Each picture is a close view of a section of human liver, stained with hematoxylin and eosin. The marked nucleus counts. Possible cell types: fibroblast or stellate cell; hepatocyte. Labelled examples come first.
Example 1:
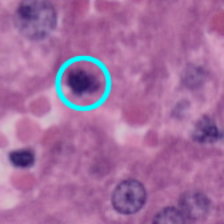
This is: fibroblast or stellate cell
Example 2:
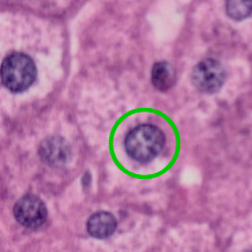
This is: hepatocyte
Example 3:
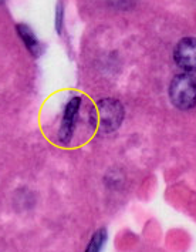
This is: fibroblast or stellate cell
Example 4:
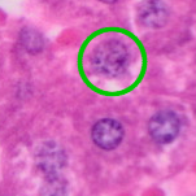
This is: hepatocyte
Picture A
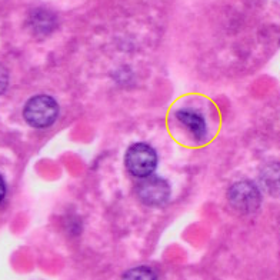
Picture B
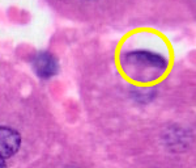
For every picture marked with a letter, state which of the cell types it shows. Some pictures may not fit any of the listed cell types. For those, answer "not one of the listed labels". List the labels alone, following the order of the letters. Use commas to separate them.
not one of the listed labels, not one of the listed labels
